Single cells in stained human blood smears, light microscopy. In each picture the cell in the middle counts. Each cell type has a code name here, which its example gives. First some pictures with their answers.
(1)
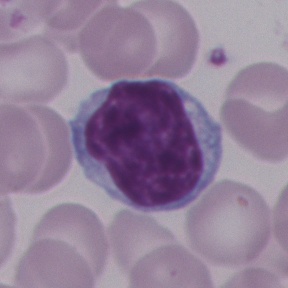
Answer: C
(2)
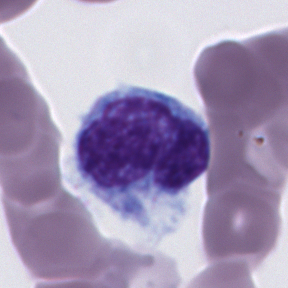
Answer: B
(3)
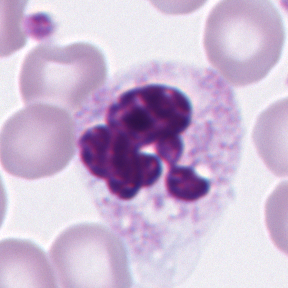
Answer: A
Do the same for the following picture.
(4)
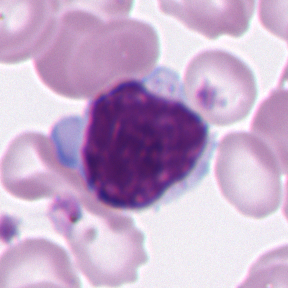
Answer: C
